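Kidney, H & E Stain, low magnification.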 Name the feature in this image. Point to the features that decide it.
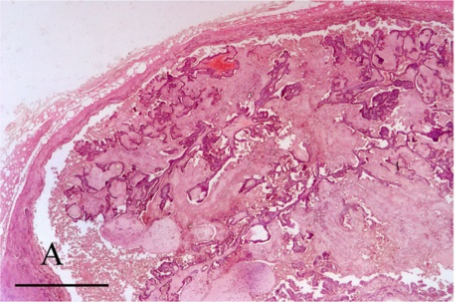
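A rounded, walled space fills most of the panel. Branching, darker purple cords run through pale pink material inside it. A thin band of compressed tissue lines the outer edge of the space. The answer: proliferating cords of epithelial cells within a cystic structure.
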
